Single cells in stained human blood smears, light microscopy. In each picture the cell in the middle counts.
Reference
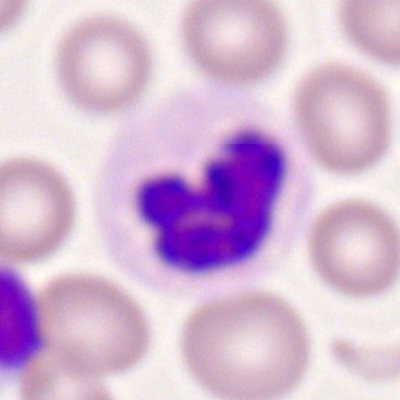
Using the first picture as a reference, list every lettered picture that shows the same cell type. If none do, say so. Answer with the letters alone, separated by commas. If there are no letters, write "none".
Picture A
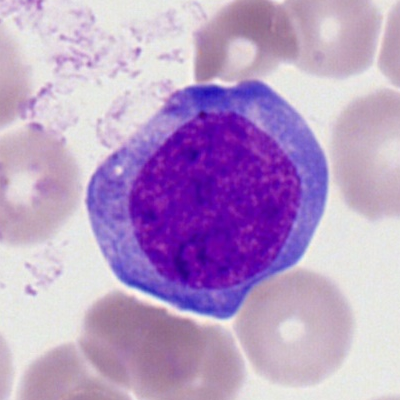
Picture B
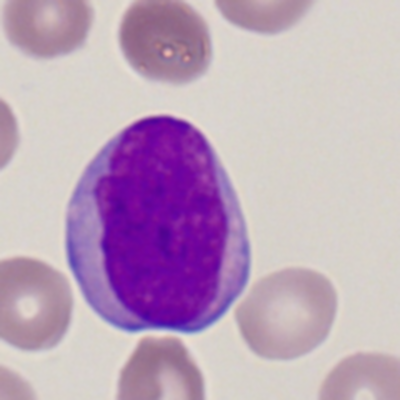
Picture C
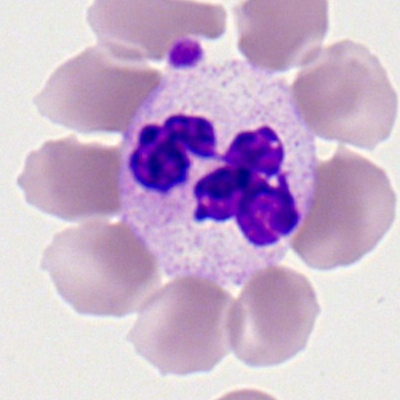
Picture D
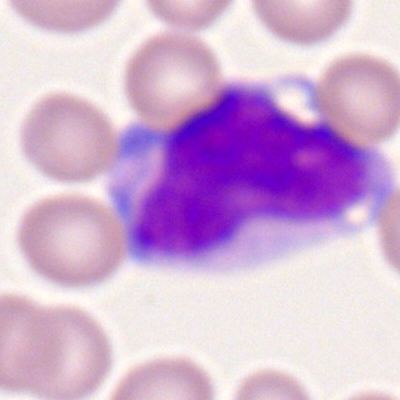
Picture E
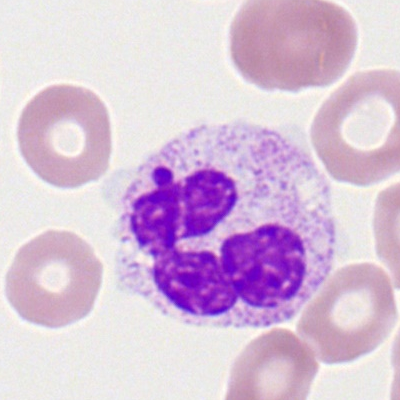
C, E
